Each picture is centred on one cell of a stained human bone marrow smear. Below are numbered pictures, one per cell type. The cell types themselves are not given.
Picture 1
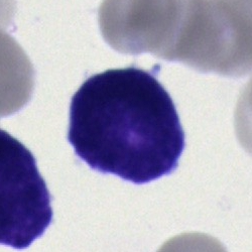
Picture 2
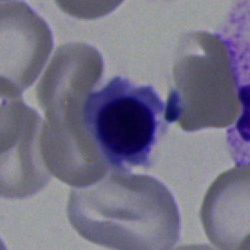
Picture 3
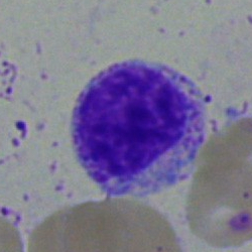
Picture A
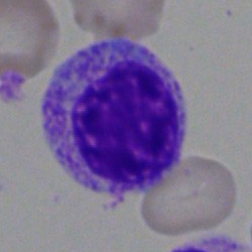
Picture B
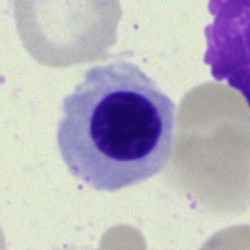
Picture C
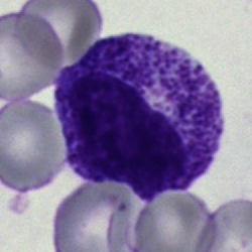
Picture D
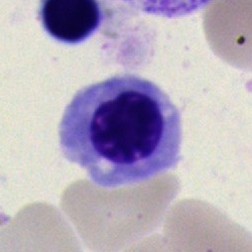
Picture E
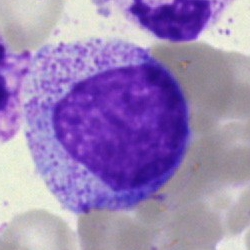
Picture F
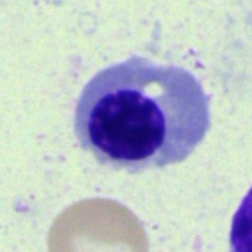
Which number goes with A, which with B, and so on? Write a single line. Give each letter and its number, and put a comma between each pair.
A 3, B 2, C 3, D 2, E 3, F 2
